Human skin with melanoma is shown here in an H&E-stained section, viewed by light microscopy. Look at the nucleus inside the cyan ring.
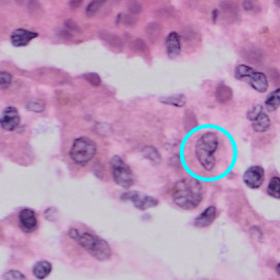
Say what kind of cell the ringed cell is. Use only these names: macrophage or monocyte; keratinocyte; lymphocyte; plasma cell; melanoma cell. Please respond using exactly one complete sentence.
The correct response here is that the ringed cell is a macrophage or monocyte.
